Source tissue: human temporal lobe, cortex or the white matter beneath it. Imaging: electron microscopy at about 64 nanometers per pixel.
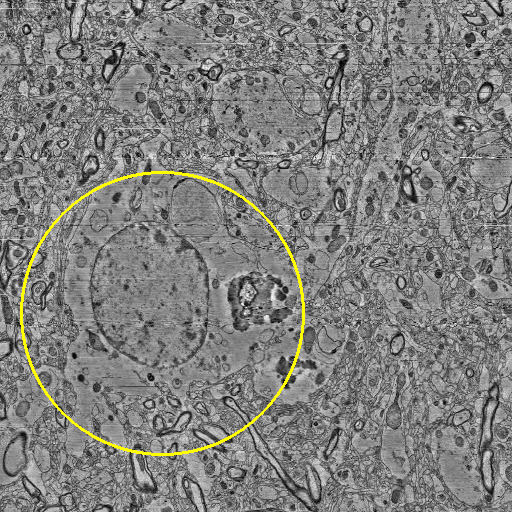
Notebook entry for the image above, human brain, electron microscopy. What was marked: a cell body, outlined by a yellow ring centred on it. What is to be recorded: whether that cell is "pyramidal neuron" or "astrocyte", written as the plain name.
astrocyte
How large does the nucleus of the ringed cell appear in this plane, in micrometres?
In this plane the nucleus spans approximately 10 by 8 micrometers.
